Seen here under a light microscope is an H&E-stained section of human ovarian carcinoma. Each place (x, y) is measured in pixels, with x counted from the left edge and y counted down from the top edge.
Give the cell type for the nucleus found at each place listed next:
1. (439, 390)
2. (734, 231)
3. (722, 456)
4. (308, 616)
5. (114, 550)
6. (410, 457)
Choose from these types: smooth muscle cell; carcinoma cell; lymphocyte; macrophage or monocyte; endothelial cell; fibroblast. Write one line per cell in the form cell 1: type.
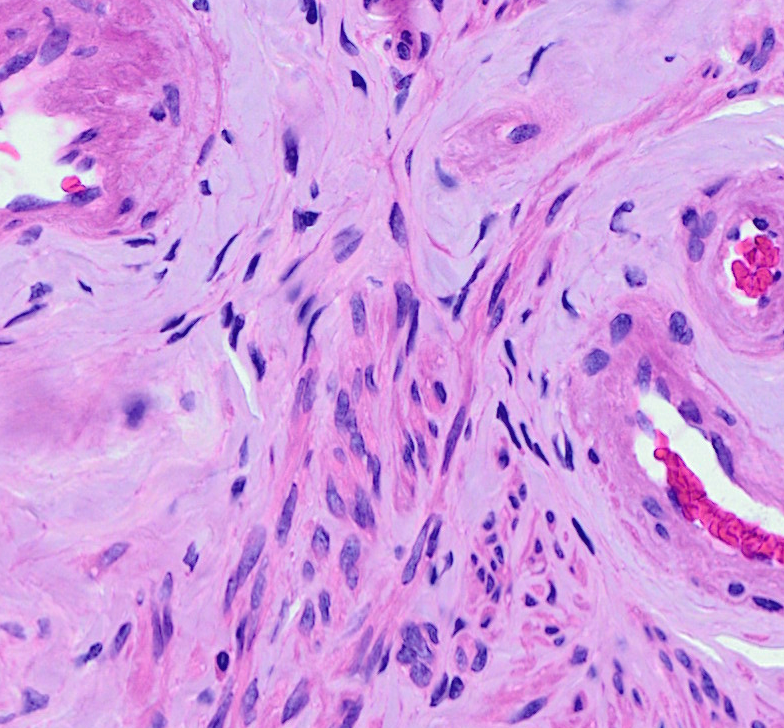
cell 1: smooth muscle cell
cell 2: endothelial cell
cell 3: endothelial cell
cell 4: smooth muscle cell
cell 5: smooth muscle cell
cell 6: smooth muscle cell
